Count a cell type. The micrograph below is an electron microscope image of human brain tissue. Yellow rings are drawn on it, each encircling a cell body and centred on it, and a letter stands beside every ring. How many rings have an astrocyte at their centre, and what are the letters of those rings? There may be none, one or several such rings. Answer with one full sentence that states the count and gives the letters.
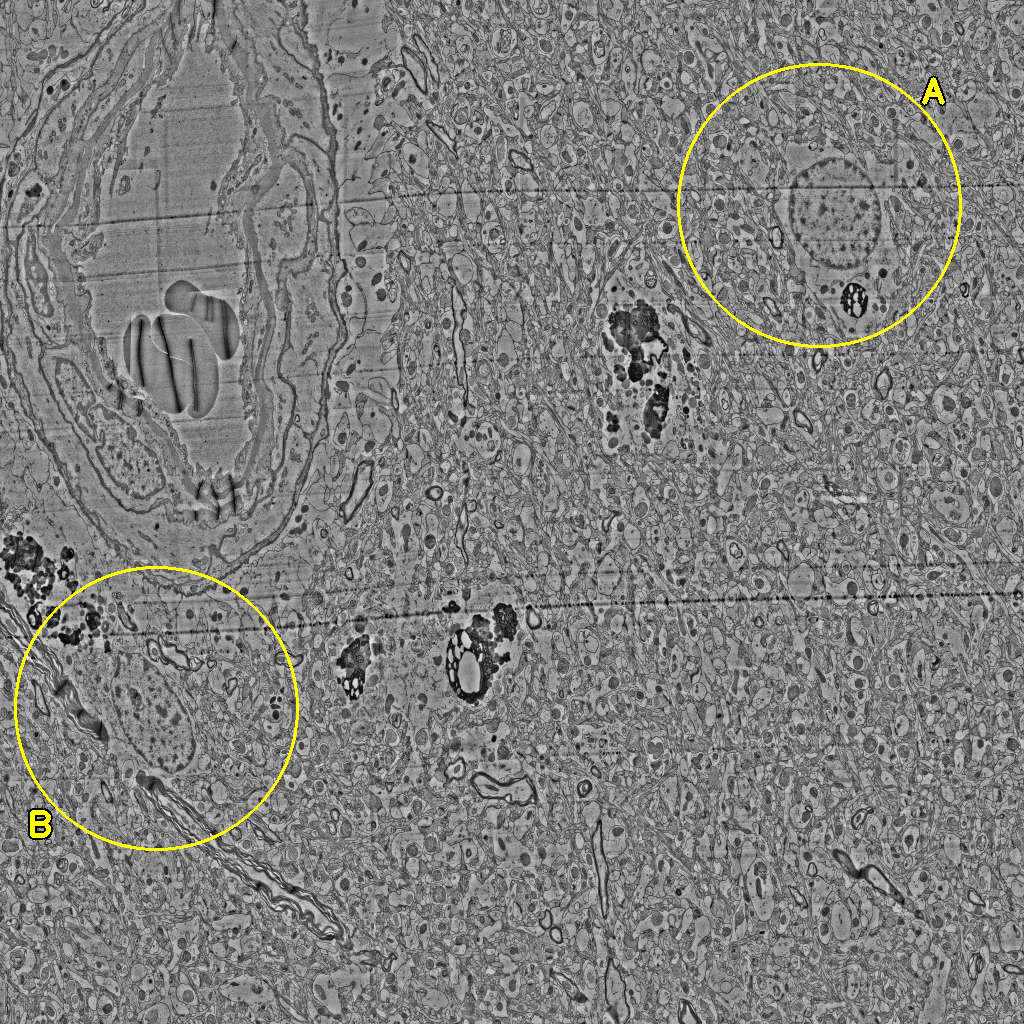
Of all the rings, two are each centred on an astrocyte, and these carry the letters A and B.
